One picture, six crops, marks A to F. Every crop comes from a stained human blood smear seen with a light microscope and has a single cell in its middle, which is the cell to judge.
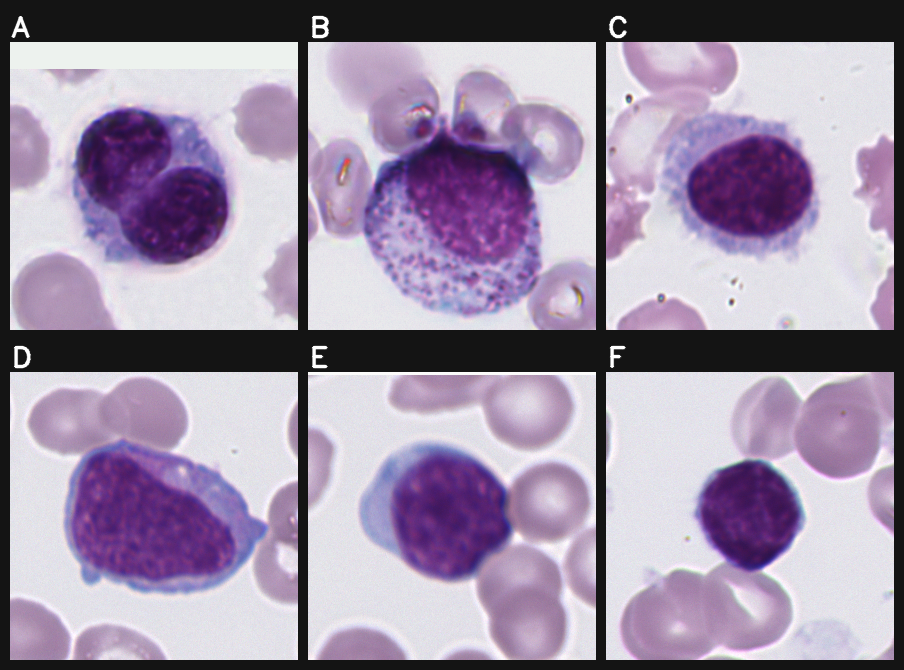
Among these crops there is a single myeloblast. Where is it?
E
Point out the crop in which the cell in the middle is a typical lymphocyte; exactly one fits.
F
